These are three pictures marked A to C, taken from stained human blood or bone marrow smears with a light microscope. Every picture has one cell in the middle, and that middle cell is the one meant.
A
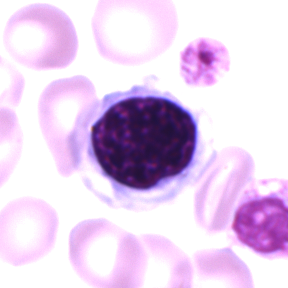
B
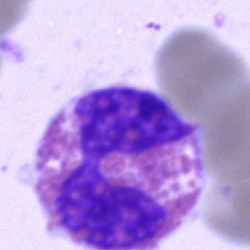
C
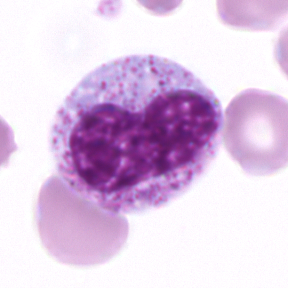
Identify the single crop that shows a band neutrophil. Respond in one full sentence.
Of the labeled crops, the one with a band neutrophil is crop C.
